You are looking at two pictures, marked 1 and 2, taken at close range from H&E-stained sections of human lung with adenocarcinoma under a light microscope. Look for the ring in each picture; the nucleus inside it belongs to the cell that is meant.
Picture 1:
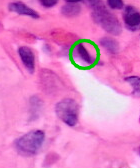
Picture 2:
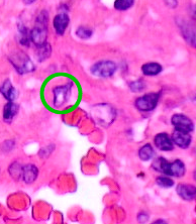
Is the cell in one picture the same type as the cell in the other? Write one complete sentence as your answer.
Yes, both cells are endothelial cells.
